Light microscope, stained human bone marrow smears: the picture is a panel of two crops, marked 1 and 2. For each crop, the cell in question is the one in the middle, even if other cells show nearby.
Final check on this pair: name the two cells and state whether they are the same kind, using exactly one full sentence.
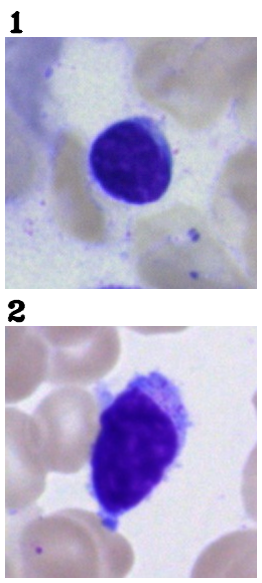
Yes, the cells that both crops show at the centre are lymphocytes.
